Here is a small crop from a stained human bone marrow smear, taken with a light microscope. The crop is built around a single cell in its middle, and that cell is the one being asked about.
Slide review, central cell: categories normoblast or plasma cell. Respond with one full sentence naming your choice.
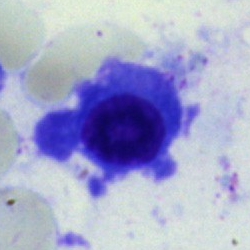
At the middle of the frame sits a normoblast.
